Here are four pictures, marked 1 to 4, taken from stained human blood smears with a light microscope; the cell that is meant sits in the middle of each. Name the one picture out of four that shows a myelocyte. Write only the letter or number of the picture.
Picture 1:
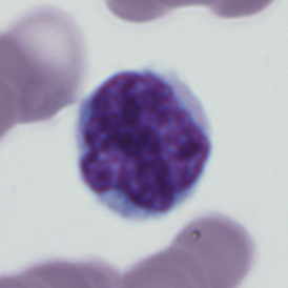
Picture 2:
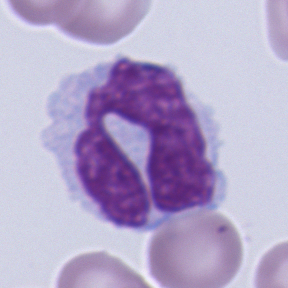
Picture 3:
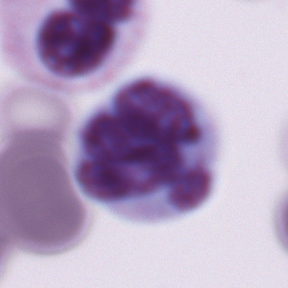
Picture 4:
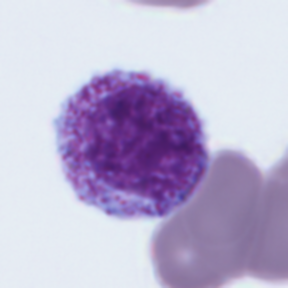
4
